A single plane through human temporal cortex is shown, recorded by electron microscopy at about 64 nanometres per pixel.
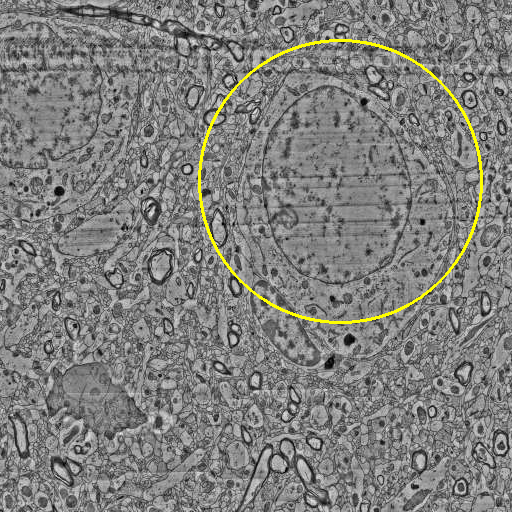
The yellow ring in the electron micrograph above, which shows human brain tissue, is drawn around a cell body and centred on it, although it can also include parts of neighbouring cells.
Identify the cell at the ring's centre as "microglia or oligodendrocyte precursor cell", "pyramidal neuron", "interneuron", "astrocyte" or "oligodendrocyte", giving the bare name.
pyramidal neuron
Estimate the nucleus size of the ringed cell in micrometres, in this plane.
The nucleus comes to roughly 13 by 10 micrometres in this plane.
